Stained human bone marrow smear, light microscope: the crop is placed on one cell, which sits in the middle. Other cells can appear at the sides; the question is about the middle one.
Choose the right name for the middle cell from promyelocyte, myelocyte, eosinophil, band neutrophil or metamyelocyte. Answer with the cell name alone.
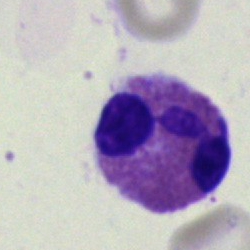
eosinophil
